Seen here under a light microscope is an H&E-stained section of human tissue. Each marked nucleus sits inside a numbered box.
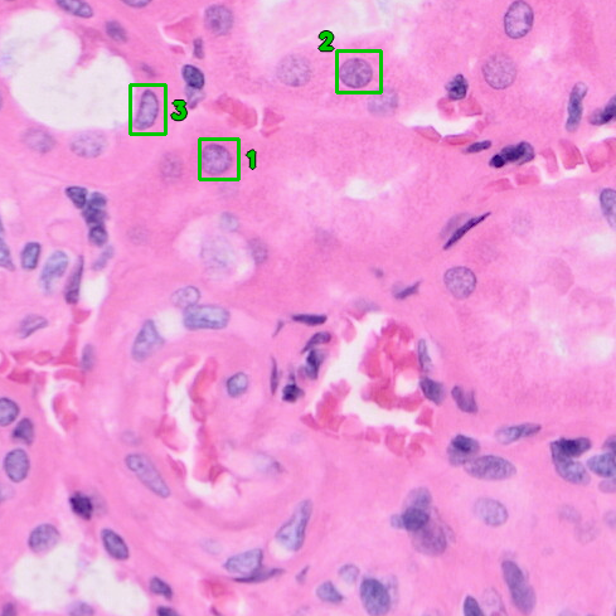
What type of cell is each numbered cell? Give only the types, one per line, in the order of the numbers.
proximal tubule cell
proximal tubule cell
loop of Henle or distal tubule cell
